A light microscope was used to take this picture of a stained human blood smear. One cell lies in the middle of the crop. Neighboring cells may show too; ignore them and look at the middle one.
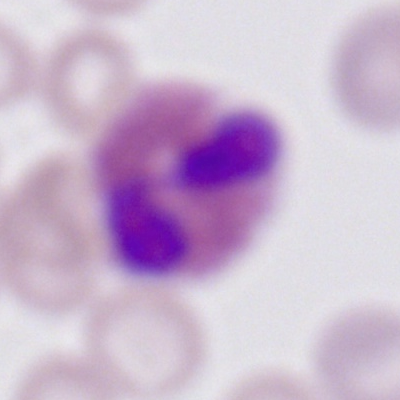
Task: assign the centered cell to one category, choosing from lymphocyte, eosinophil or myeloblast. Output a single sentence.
The cell marked by its central position in the crop is an eosinophil.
